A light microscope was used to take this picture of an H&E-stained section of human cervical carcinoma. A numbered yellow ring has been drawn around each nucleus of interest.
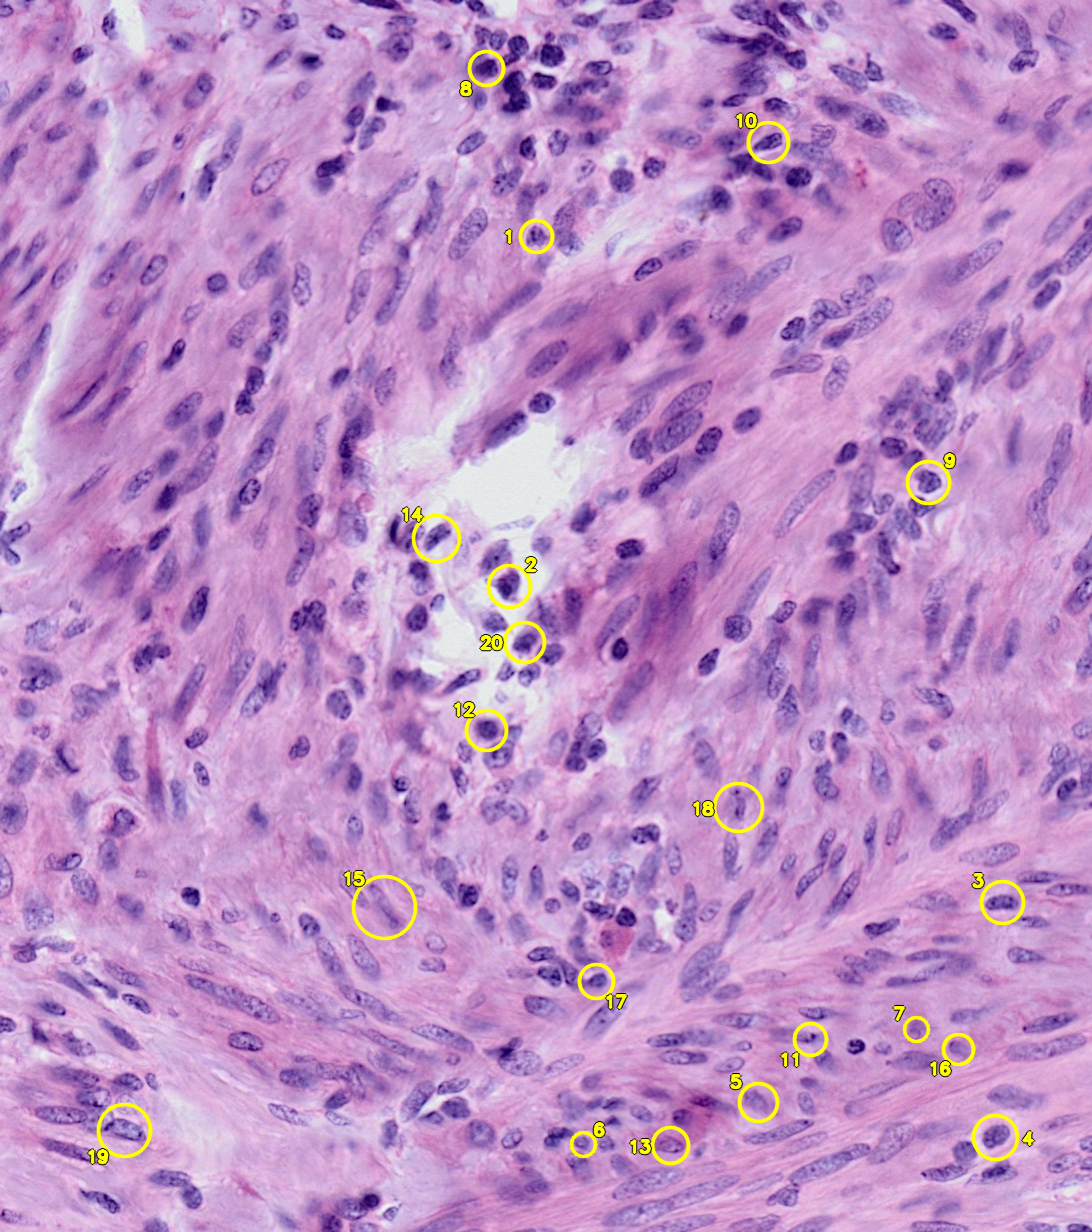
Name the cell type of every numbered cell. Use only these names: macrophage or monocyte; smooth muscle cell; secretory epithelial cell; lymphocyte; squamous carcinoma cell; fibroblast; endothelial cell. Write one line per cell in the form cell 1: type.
cell 1: lymphocyte
cell 2: lymphocyte
cell 3: lymphocyte
cell 4: lymphocyte
cell 5: smooth muscle cell
cell 6: smooth muscle cell
cell 7: smooth muscle cell
cell 8: lymphocyte
cell 9: lymphocyte
cell 10: lymphocyte
cell 11: smooth muscle cell
cell 12: lymphocyte
cell 13: smooth muscle cell
cell 14: lymphocyte
cell 15: smooth muscle cell
cell 16: smooth muscle cell
cell 17: lymphocyte
cell 18: smooth muscle cell
cell 19: endothelial cell
cell 20: lymphocyte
